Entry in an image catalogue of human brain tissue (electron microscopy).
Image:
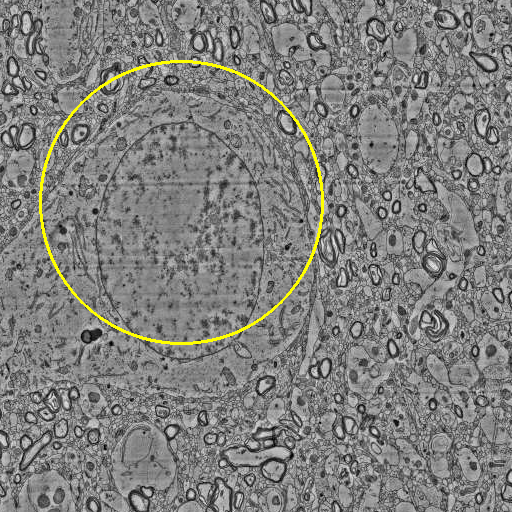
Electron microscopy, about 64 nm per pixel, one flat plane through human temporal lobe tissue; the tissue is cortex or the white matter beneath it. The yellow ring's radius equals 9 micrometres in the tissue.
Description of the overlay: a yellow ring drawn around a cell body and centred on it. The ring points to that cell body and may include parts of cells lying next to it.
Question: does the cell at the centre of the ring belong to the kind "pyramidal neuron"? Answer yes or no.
yes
